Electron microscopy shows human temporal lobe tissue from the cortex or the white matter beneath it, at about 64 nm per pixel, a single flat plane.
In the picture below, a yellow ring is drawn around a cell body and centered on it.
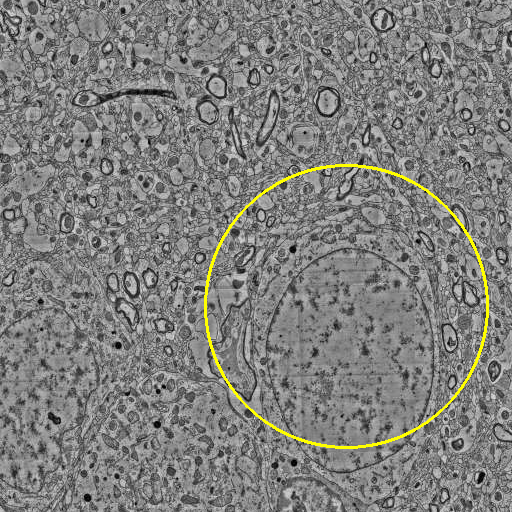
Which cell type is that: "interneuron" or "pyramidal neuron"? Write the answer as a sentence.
The cell centered in the ring is a pyramidal neuron.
